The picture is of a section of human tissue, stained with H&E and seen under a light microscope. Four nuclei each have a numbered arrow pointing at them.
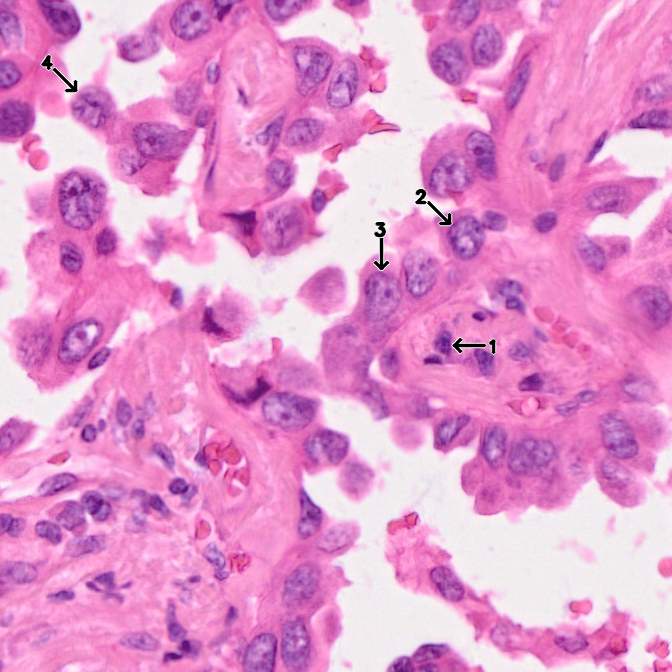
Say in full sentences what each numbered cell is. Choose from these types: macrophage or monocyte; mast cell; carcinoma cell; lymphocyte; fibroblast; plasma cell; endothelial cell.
Cell 1 is a plasma cell, cell 2 is a carcinoma cell, cell 3 is a carcinoma cell and cell 4 is a carcinoma cell.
